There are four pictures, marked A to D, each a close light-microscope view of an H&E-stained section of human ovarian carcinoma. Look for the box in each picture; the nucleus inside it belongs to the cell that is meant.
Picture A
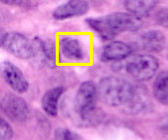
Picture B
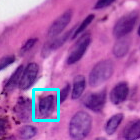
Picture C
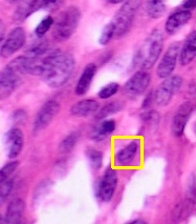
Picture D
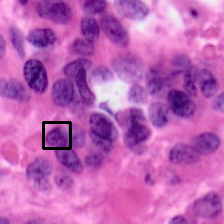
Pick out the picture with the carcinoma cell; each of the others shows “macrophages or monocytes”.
D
